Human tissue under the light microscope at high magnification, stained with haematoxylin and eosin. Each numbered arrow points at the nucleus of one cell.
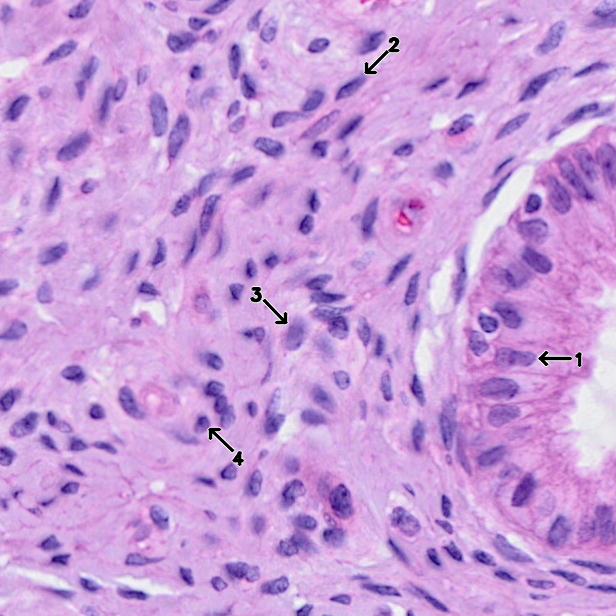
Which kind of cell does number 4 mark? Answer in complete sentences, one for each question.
Number 4 among the marked cells is a fibroblast.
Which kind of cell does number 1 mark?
The cell numbered 1 represents a secretory epithelial cell.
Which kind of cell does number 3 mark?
The cell indicated with the number 3 is classed as a fibroblast.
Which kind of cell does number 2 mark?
The cell that is numbered 2 is a fibroblast.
